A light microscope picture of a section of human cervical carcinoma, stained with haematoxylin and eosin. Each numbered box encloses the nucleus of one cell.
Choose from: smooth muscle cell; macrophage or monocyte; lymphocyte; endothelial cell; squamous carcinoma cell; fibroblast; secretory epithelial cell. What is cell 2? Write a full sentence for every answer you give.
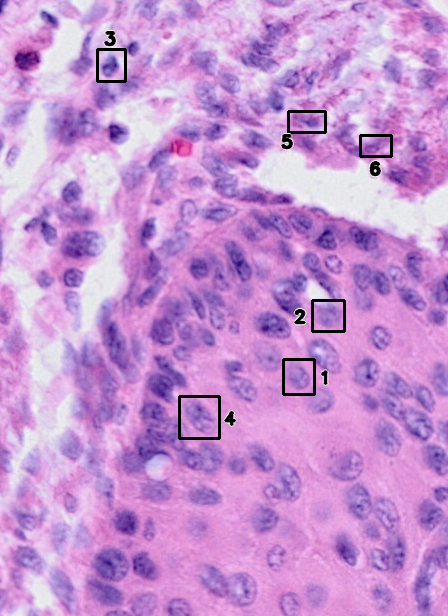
The nucleus with number 2 is that of a squamous carcinoma cell.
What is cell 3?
Cell 3 in the field is a lymphocyte.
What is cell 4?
The identity of cell 4 is that of a squamous carcinoma cell.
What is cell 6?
The cell that bears the number 6 is a fibroblast.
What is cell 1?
The cell referenced by the number 1 is a squamous carcinoma cell in this field.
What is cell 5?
The nucleus with number 5 is that of a fibroblast.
